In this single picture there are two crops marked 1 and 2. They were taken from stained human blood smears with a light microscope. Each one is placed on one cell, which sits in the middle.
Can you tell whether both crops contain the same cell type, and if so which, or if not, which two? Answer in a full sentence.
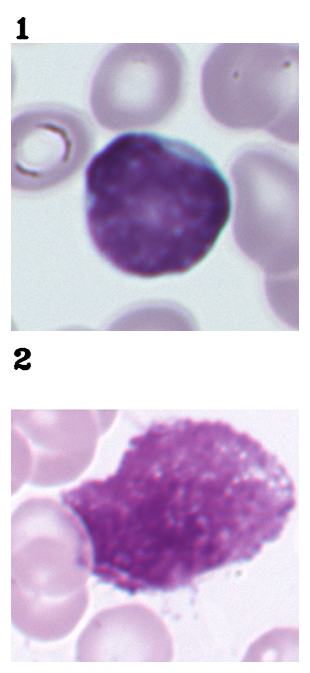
No, in crop 1 there is a typical lymphocyte, and in crop 2 there is a smudge cell.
